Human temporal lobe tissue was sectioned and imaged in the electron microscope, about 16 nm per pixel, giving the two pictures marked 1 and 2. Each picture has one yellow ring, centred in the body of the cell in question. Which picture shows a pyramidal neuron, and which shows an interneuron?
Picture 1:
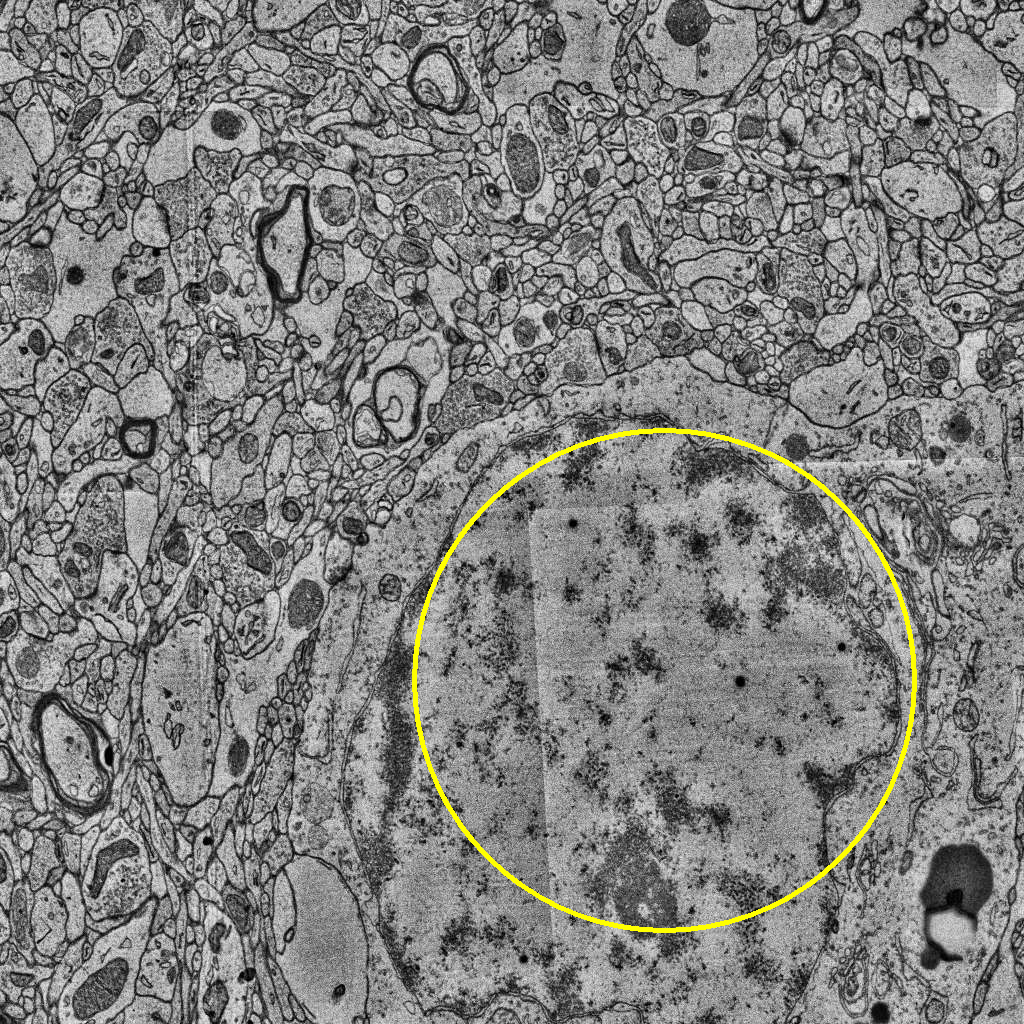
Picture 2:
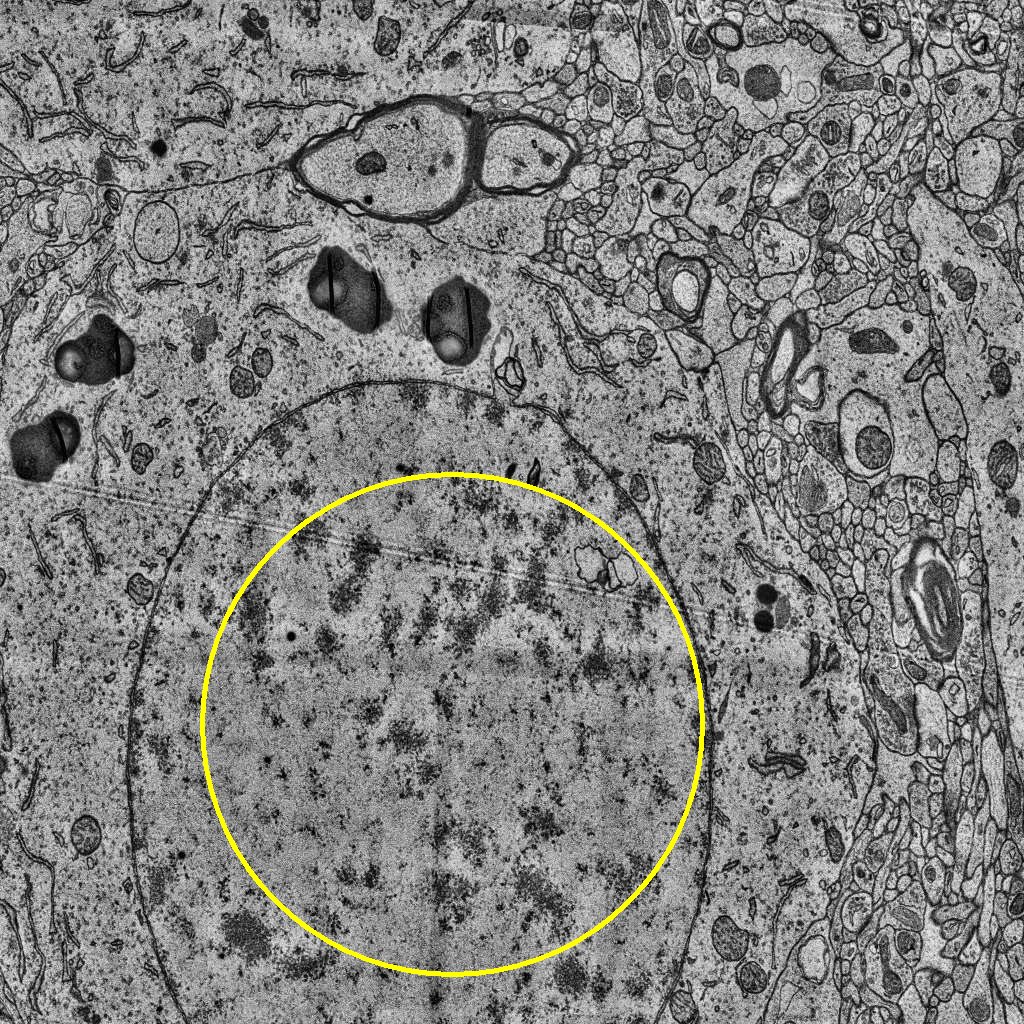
Picture 2 shows a pyramidal neuron, while picture 1 shows an interneuron.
